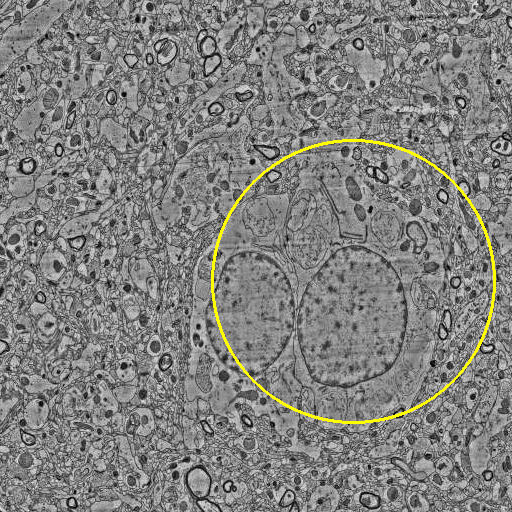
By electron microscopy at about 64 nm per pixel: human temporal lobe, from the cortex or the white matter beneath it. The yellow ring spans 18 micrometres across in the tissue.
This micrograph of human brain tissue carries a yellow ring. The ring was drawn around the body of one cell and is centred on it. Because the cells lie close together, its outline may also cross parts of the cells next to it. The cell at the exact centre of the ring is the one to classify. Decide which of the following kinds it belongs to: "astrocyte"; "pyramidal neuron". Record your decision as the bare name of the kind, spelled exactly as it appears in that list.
astrocyte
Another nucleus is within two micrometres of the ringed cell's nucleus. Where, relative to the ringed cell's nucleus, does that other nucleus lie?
That other nucleus lies to the left of it.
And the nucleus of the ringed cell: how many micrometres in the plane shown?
About 9 micrometres by about 7 micrometres in this plane.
